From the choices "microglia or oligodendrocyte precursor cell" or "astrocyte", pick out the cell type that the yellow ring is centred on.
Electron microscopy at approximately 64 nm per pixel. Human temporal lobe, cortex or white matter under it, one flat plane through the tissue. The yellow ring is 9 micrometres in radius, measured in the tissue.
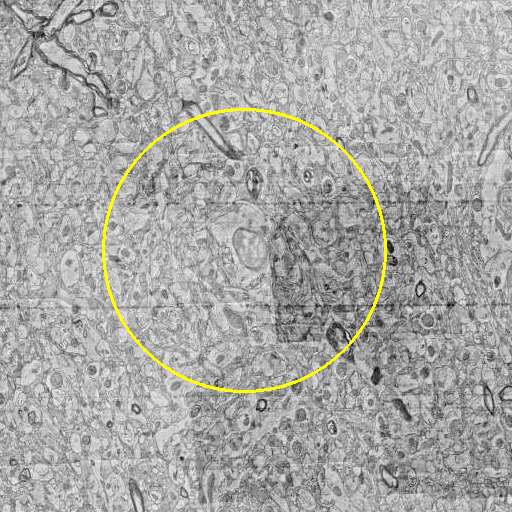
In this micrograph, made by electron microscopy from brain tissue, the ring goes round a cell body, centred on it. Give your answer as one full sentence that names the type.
The yellow ring is centred on an astrocyte, whose cell body it encircles in the picture.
